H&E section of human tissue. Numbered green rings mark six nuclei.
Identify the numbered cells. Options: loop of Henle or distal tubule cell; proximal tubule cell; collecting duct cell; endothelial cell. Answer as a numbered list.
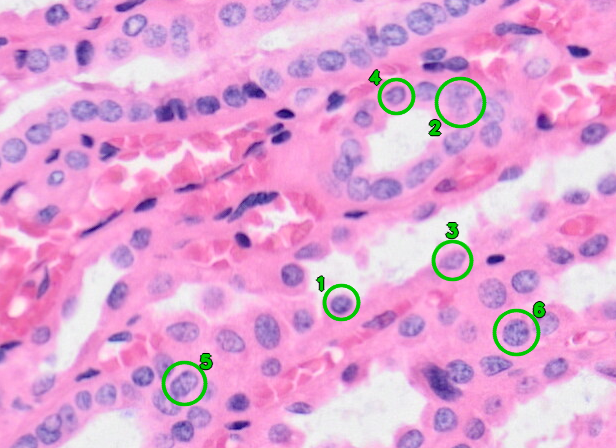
1. loop of Henle or distal tubule cell
2. collecting duct cell
3. loop of Henle or distal tubule cell
4. collecting duct cell
5. collecting duct cell
6. loop of Henle or distal tubule cell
